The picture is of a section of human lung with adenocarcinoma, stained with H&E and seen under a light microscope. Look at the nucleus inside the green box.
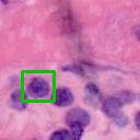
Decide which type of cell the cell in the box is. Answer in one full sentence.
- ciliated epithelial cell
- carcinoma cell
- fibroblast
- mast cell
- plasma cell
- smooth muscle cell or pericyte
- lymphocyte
In this section of tissue, the cell in the box is a lymphocyte.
